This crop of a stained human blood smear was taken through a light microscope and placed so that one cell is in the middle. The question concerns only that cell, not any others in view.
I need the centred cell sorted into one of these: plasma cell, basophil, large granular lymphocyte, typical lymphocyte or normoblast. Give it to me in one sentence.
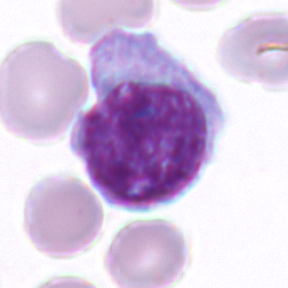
The cell around which this crop is centred is a plasma cell.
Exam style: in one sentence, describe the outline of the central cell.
The edge of the cell is broken up by ragged stretches or by outward projections.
